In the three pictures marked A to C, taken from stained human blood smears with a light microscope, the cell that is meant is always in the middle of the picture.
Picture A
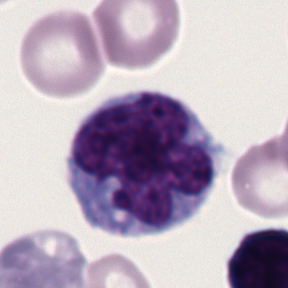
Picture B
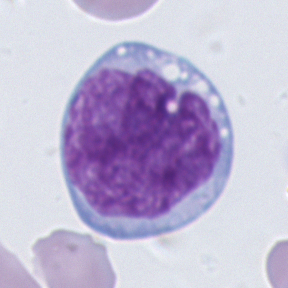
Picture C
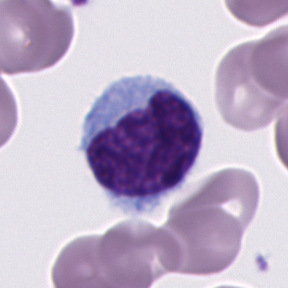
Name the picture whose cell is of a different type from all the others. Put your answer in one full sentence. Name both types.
Picture B differs, because its cell is a myeloblast and the rest are monocytes.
